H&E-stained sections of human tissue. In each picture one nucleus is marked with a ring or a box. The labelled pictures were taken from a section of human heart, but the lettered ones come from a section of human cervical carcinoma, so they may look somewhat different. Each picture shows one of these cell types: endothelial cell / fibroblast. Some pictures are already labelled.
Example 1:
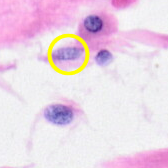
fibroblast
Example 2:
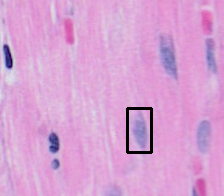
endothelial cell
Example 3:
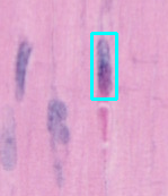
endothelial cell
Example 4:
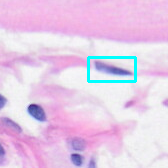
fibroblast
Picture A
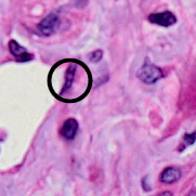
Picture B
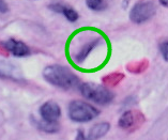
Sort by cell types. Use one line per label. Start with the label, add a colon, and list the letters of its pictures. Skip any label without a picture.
endothelial cell: A, B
